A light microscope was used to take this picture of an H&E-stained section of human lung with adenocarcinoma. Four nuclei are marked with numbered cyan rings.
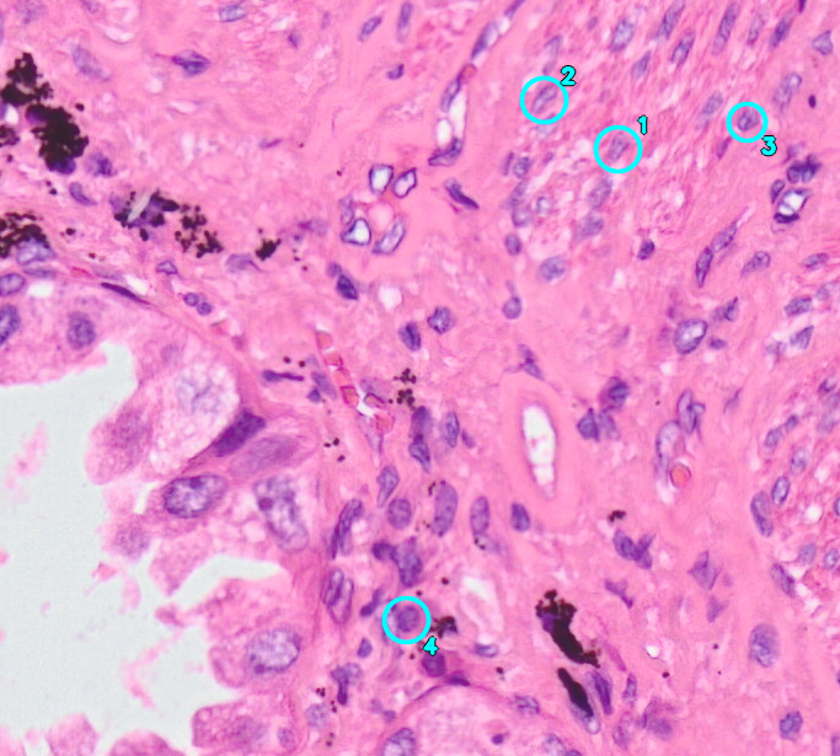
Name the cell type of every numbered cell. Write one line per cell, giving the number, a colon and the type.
1: smooth muscle cell or pericyte
2: smooth muscle cell or pericyte
3: smooth muscle cell or pericyte
4: plasma cell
